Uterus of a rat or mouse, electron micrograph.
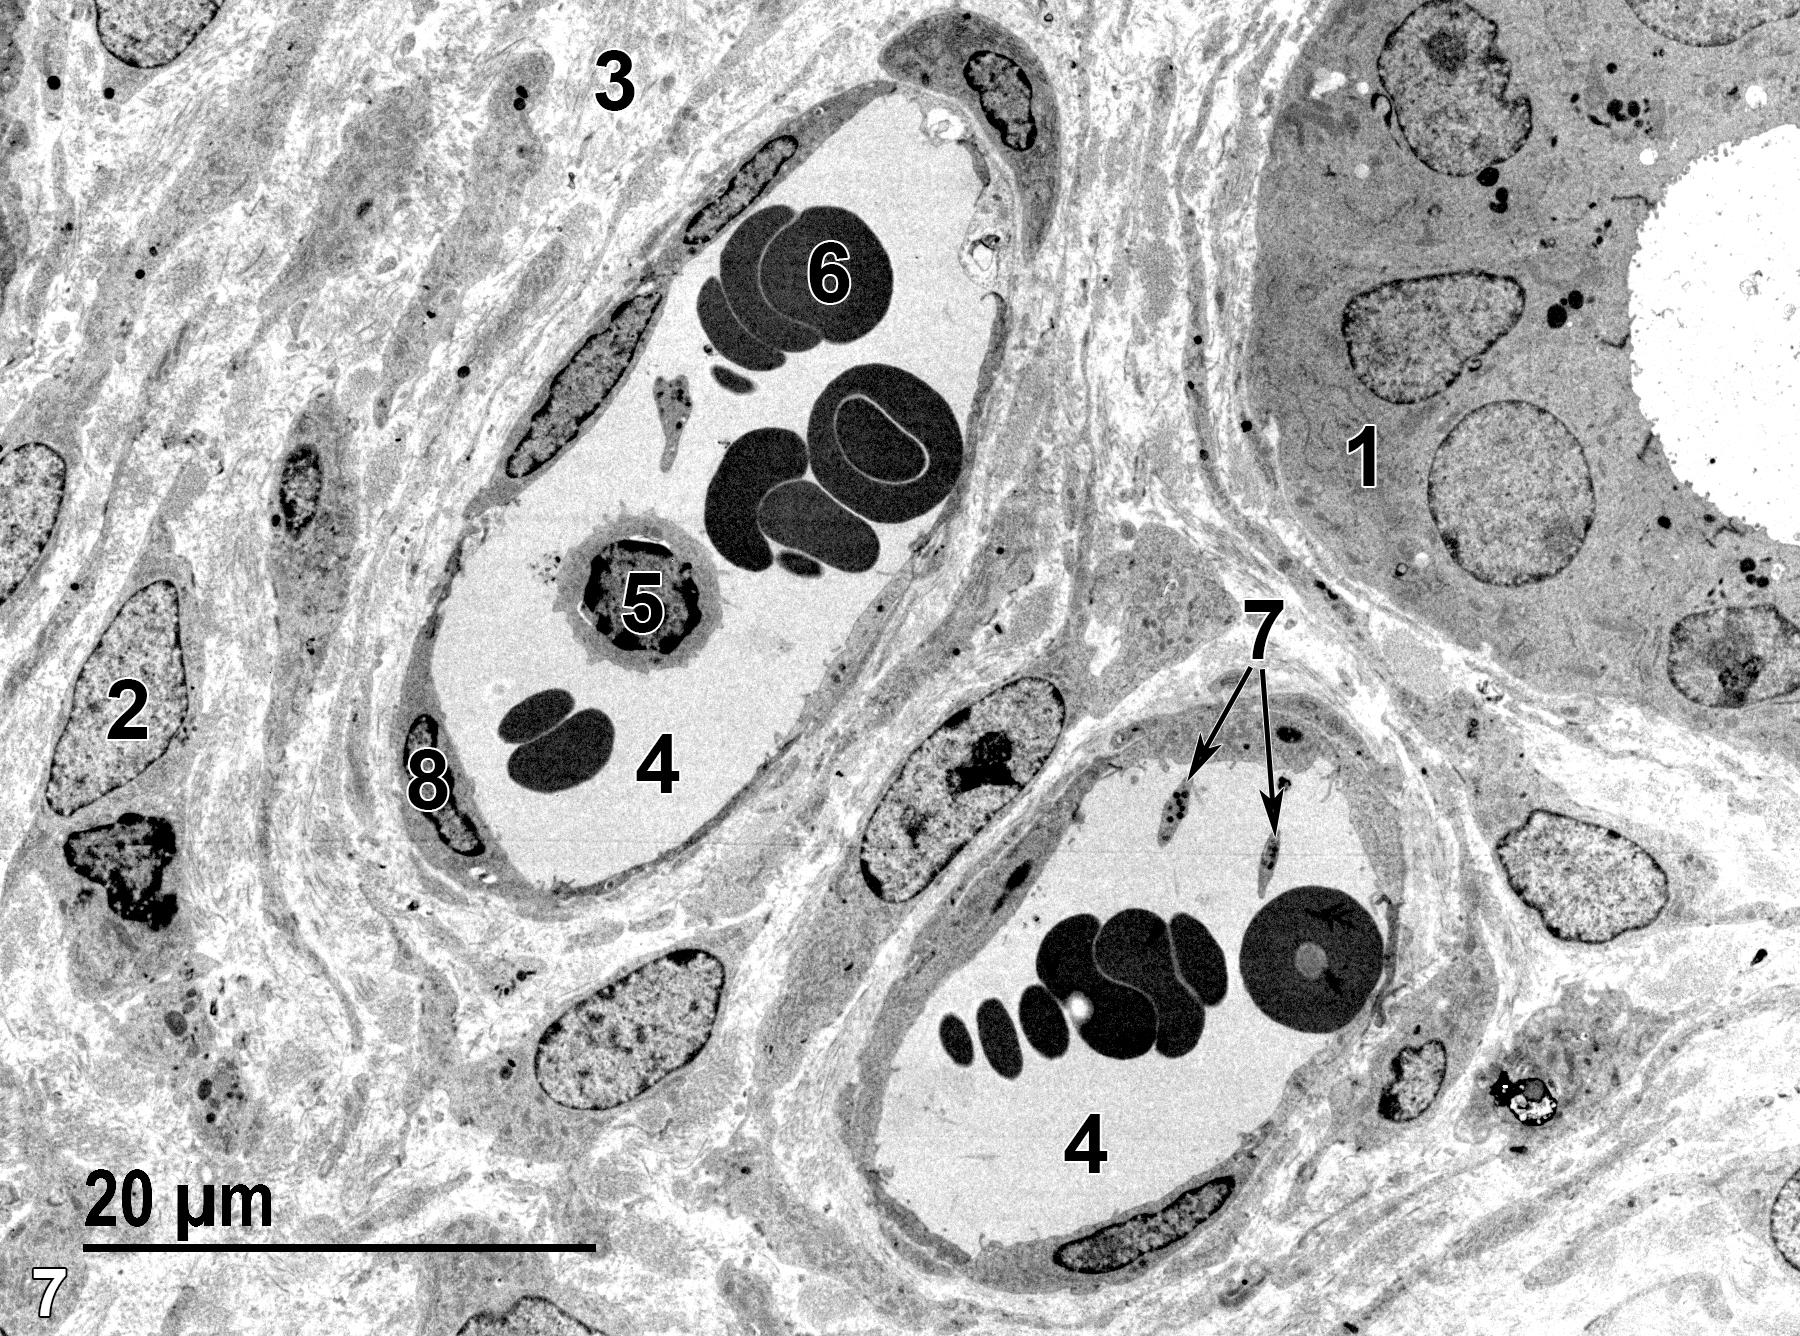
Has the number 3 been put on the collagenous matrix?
Yes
